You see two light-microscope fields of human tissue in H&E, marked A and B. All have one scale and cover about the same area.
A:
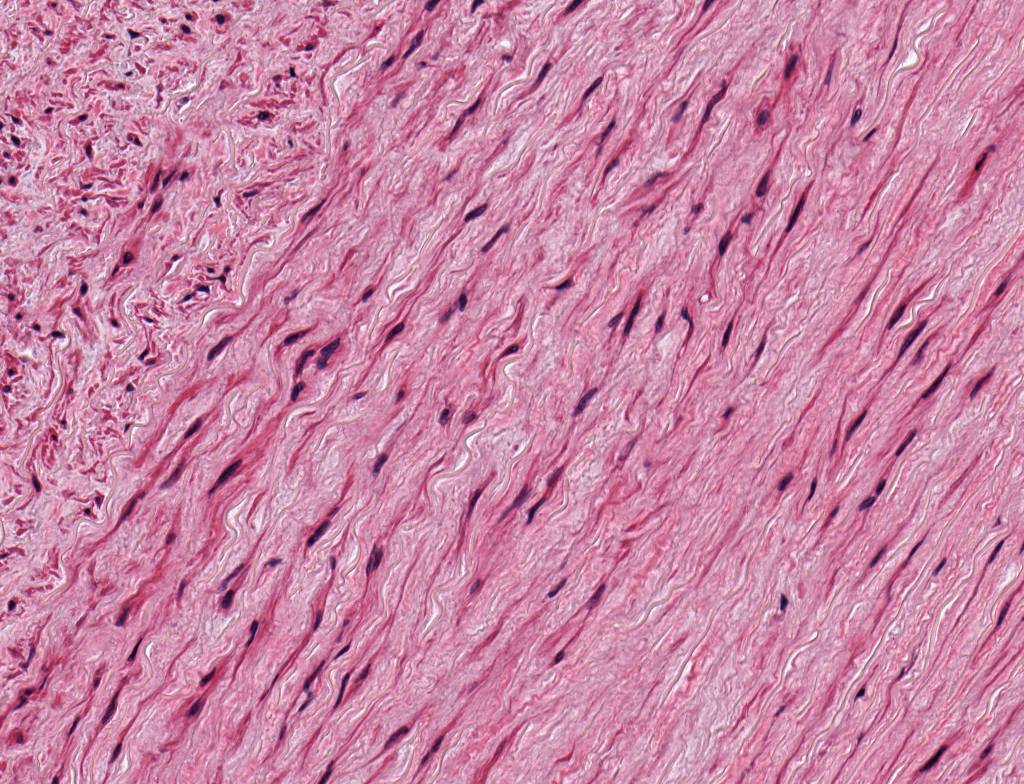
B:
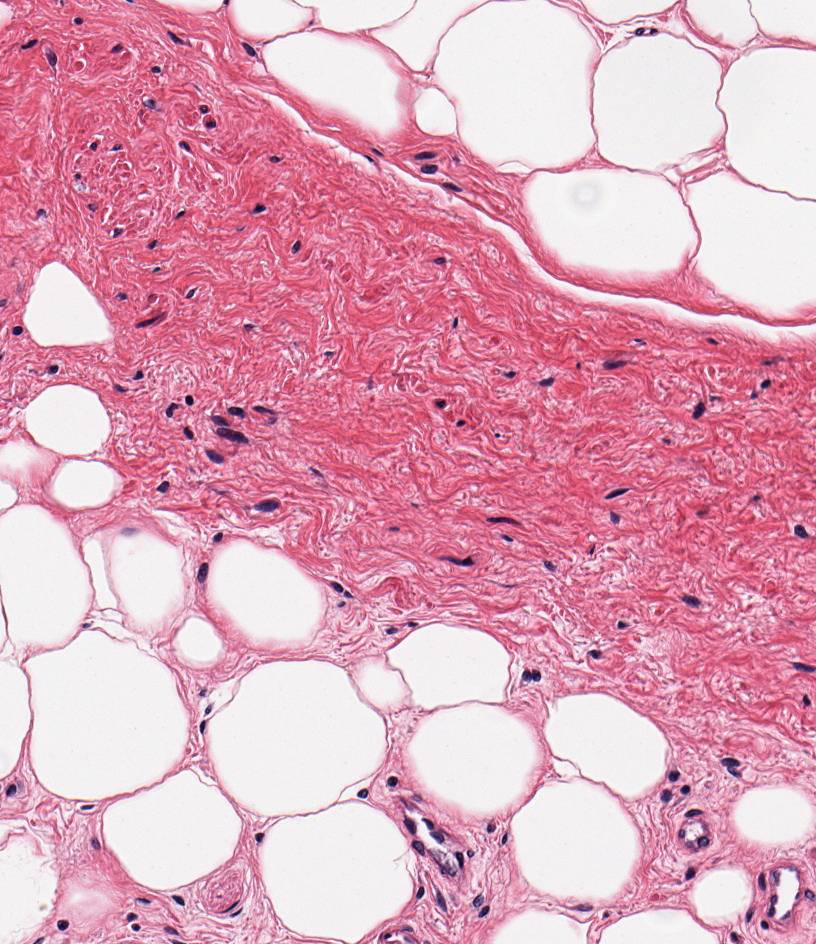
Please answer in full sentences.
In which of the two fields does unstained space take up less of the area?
Picture A has less white space.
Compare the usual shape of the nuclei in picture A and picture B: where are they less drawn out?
Rounder nuclei lie in picture B.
